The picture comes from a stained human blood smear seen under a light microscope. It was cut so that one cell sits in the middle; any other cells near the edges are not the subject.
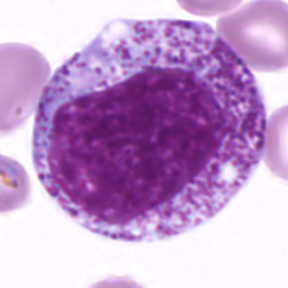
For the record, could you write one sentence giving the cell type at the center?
On this slide crop, the central cell is a promyelocyte.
